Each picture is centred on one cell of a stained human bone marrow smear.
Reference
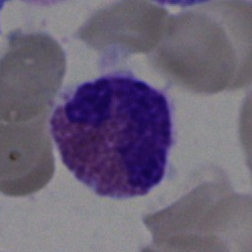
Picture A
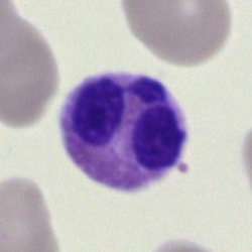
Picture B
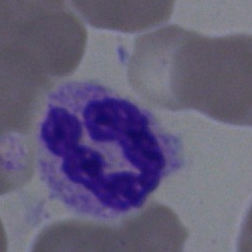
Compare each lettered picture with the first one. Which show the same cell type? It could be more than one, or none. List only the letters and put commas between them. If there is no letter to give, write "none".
A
